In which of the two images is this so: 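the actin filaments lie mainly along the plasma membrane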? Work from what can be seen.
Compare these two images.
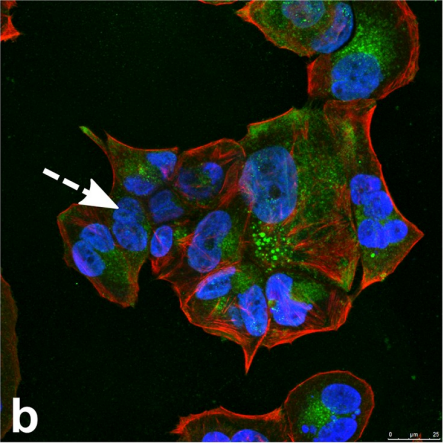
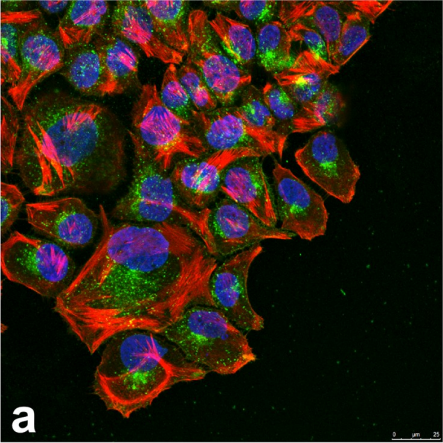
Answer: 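First image: red staining is concentrated at the cell borders with few fibres inside the cells. Second image: many cells show straight red bundles crossing the cytoplasm. The answer: the first image.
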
